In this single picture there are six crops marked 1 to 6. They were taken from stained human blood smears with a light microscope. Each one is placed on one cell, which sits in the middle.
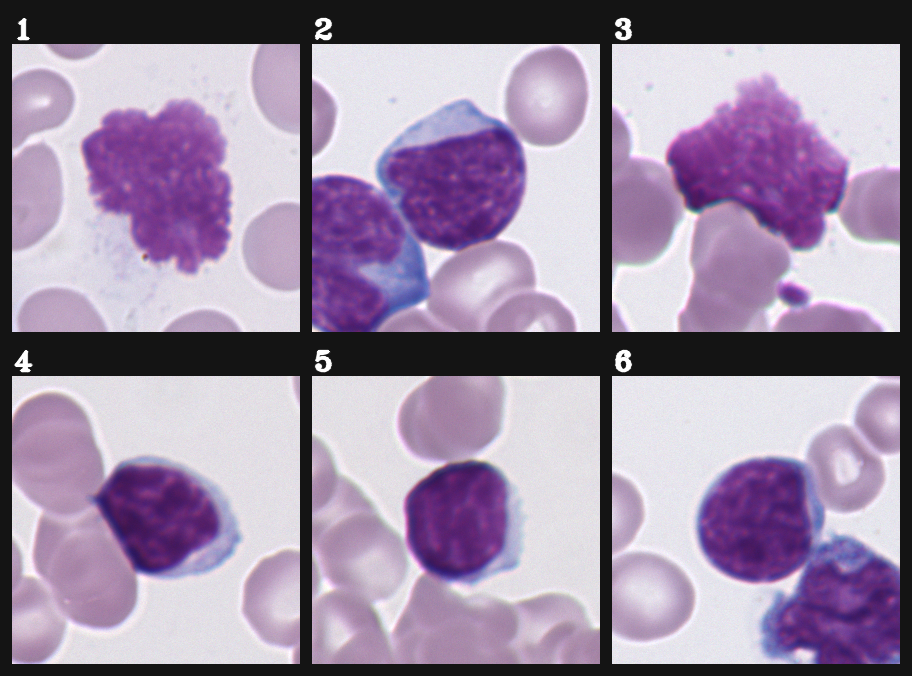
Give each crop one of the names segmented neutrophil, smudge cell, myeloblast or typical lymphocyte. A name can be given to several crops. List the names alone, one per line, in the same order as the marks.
smudge cell
myeloblast
smudge cell
typical lymphocyte
typical lymphocyte
myeloblast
